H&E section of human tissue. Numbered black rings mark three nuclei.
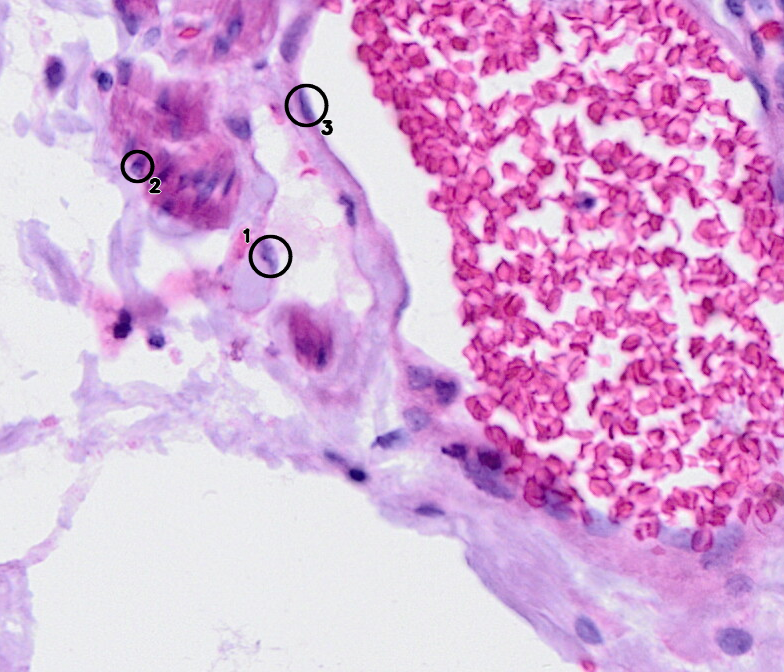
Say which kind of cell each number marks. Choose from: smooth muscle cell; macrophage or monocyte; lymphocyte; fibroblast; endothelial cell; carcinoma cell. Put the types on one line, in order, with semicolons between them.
endothelial cell; smooth muscle cell; endothelial cell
